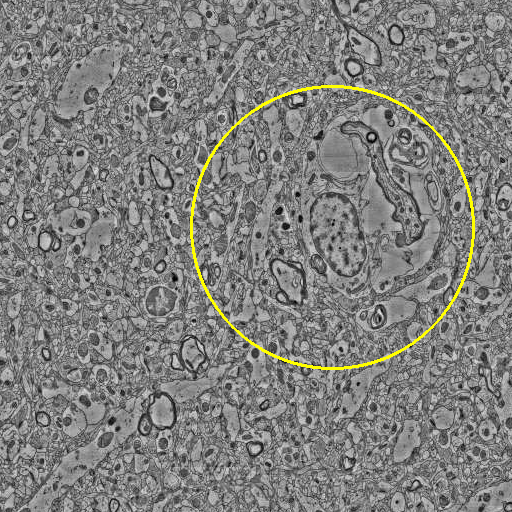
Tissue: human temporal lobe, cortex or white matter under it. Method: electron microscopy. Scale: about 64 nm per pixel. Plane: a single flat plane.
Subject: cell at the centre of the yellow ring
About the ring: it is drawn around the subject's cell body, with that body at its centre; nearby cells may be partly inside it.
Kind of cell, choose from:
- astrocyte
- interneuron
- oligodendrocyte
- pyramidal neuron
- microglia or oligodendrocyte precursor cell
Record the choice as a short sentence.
The subject cell is a microglial cell or oligodendrocyte precursor cell.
